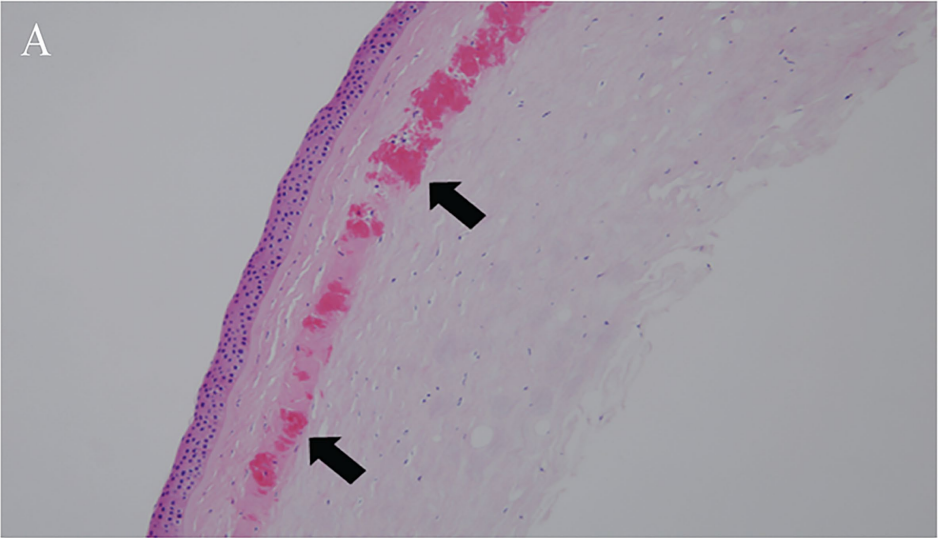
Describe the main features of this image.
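A section of cornea stained pink and purple shows a surface epithelium several cell layers thick, with closely packed purple nuclei, resting on a broad, pale pink stroma. The stroma is made of faint layered lamellae with only sparse, small, flattened nuclei. A little below the epithelium, a discontinuous band of bright pink, clumped granular deposits runs parallel to the surface.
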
